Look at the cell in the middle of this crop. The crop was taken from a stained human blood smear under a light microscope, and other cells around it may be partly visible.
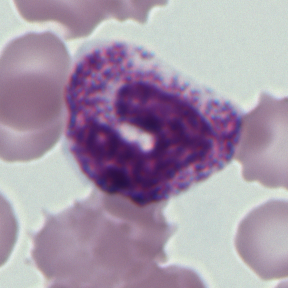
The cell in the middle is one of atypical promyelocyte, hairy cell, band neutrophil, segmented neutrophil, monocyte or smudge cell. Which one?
band neutrophil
